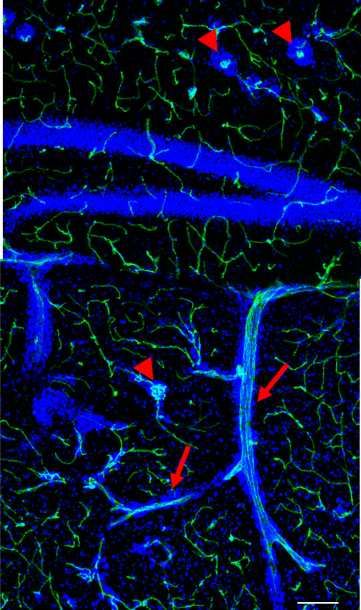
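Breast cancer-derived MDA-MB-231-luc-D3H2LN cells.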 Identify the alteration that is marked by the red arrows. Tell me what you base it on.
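Vessel co-option. Thick green vessels are sheathed along their length by many blue nuclei. The cells line the outside of the vessel wall rather than forming a separate mass.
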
